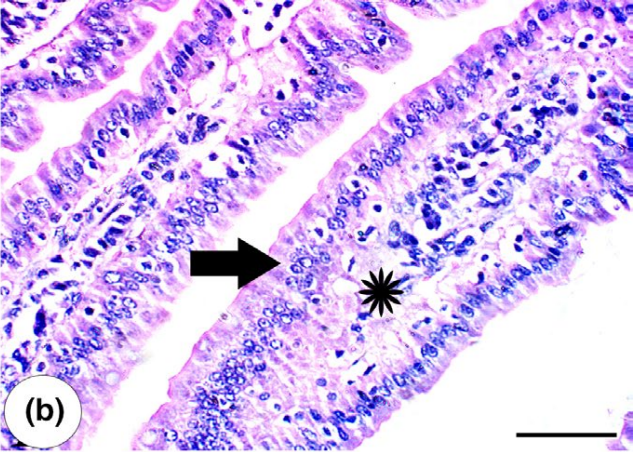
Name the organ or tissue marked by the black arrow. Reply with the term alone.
columnar epithelium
